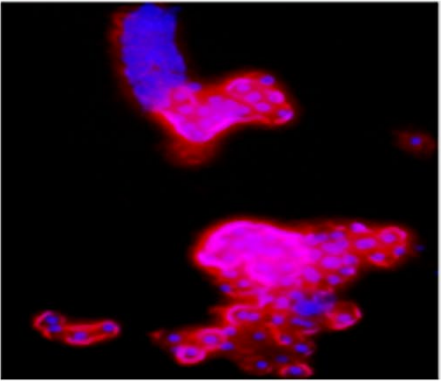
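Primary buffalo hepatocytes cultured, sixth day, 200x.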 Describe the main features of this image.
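Round blue nuclei sit closely packed, each ringed by red at the cell border, and toward the centre the cells overlap in several layers so that the clusters glow densely pink. At the edges a few smaller groups of cells with distinct nuclei lie apart from the main clusters.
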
